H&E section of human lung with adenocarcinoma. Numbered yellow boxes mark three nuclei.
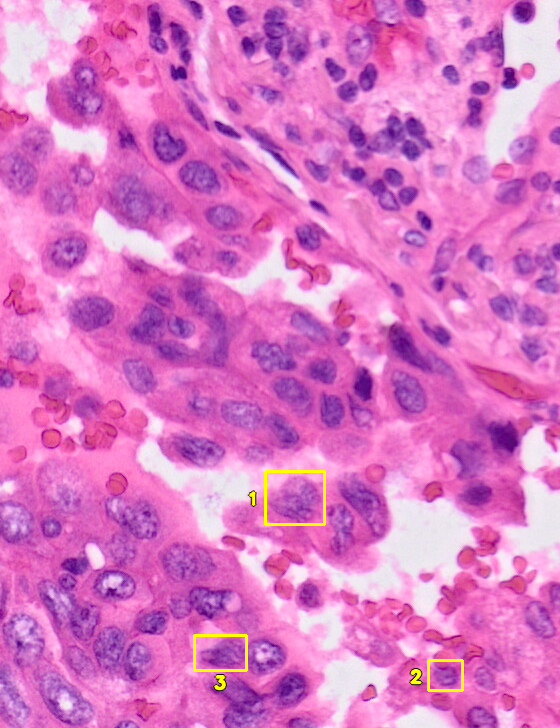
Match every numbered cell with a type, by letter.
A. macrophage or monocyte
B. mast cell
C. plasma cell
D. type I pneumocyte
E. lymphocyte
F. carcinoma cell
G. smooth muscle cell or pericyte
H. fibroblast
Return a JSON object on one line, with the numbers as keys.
{"1": "F", "2": "A", "3": "F"}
